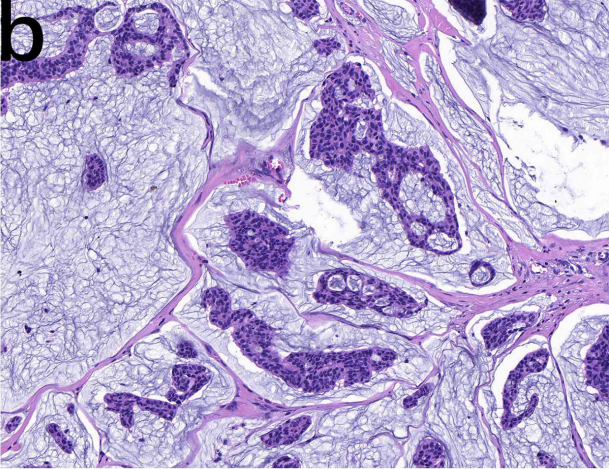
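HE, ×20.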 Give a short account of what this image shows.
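Nests of epithelioid tumor cells lie scattered within large pools of pale blue mucin. Thin pink fibrous septa partition the mucin into compartments. The nests vary from solid clumps to elongated cords, and some contain small gland-like lumens.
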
